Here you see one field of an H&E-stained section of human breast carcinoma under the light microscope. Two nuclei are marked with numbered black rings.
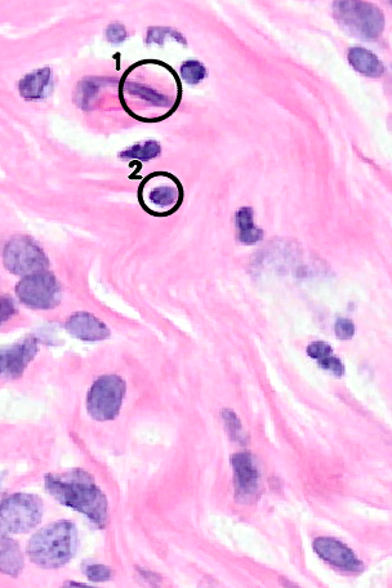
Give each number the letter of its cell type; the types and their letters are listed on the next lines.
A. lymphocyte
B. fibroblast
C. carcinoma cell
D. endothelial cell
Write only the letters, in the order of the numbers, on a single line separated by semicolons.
D; A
